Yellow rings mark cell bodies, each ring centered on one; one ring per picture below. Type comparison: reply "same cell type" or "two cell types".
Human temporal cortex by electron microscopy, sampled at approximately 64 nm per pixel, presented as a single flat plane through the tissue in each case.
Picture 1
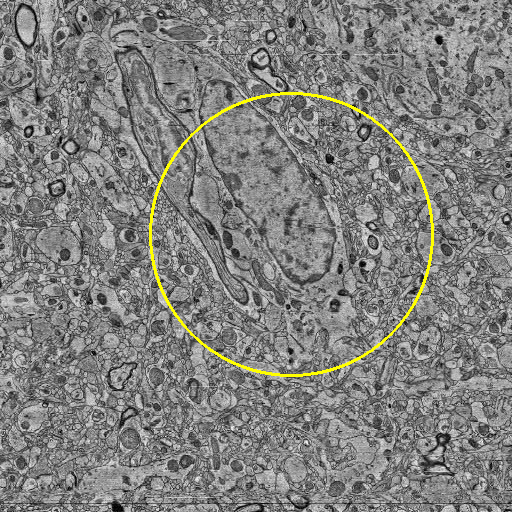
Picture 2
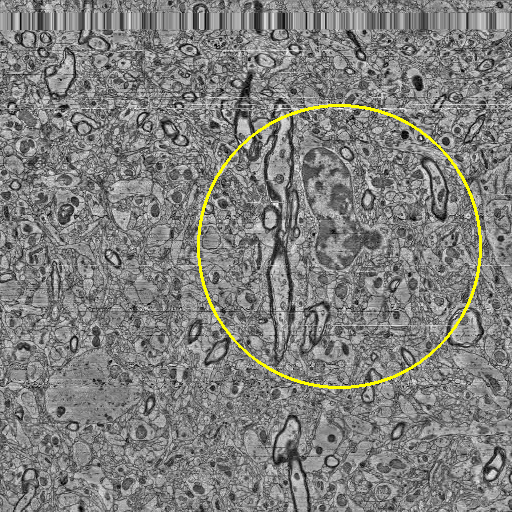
same cell type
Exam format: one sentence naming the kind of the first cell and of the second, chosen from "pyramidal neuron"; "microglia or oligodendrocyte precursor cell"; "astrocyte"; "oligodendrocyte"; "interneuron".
In each of the two pictures, the ringed cell is a microglial cell or oligodendrocyte precursor cell.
